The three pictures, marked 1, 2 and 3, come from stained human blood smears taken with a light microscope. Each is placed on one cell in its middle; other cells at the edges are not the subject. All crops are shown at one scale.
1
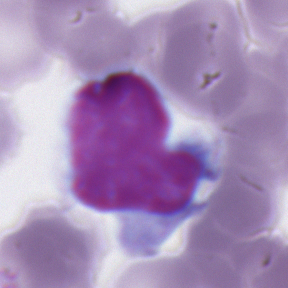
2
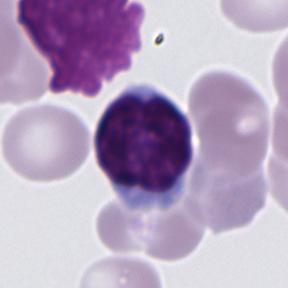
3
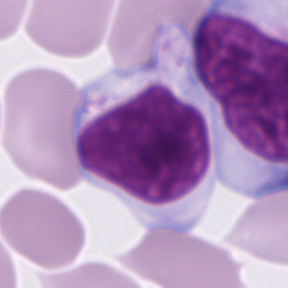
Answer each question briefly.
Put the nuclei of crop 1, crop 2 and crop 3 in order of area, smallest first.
2, 3, 1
